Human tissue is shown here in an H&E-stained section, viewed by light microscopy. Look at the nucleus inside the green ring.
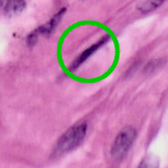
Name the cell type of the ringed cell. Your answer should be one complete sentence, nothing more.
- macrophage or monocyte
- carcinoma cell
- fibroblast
The correct response here is that the ringed cell is a fibroblast.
